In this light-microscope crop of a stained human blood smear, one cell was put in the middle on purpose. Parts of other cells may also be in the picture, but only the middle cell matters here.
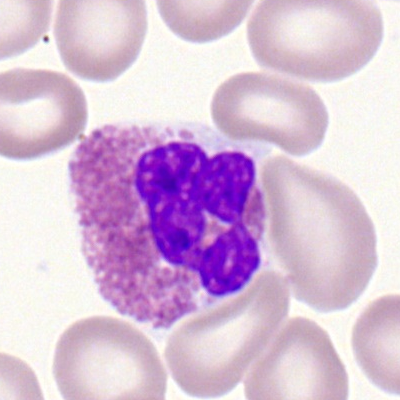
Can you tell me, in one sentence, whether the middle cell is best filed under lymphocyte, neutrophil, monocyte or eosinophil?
The cell featured at the centre of this crop is an eosinophil.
